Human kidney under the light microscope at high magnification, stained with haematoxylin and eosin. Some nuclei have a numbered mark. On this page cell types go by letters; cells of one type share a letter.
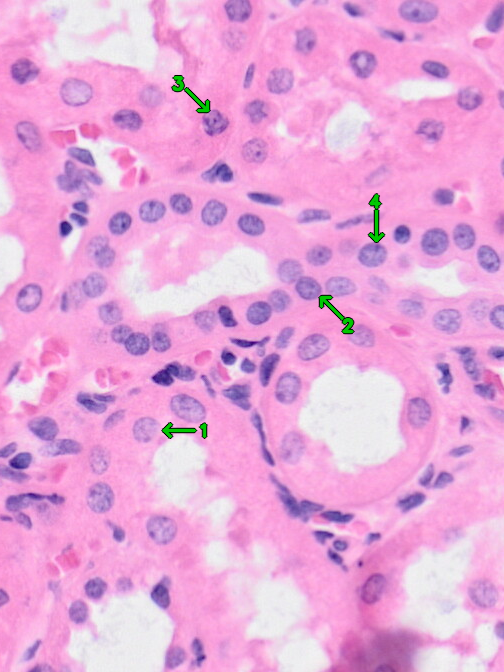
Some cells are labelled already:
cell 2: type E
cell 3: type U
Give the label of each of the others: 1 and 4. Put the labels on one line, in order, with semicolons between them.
type U; type E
